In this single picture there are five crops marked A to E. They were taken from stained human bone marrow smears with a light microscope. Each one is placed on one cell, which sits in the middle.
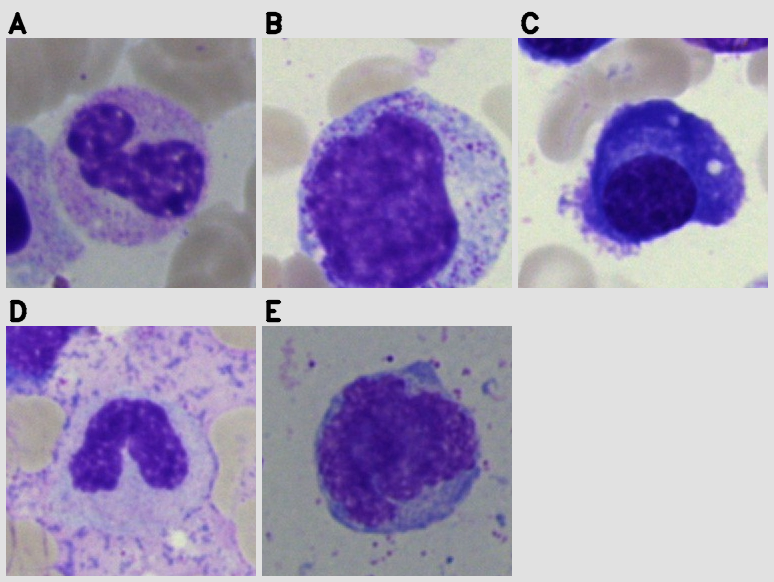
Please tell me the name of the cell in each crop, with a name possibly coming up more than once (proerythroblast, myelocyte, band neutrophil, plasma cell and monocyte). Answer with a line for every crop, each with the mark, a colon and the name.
A: band neutrophil
B: myelocyte
C: plasma cell
D: band neutrophil
E: monocyte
